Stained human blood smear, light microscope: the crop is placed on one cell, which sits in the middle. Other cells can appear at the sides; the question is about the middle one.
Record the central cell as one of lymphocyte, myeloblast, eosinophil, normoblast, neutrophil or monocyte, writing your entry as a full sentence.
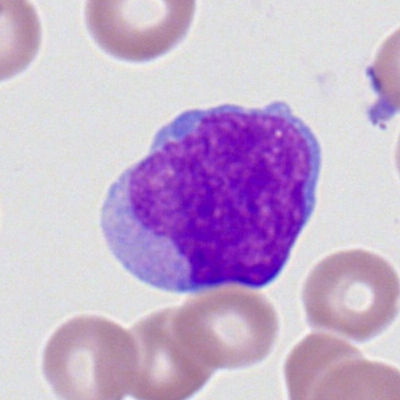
This crop has a myeloblast at its centre.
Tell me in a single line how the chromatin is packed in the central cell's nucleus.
The nucleus shows chromatin that is coarsely clumped.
